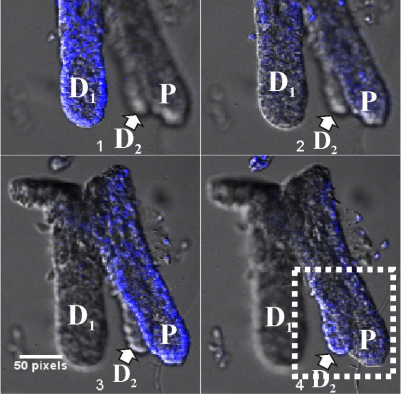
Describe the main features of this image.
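Two long crypts hang side by side joined at the top, and a short rounded bud, marked by the arrows, sits low between them near their bases. At some depths the bud is barely visible, while at others its outline stands out beside the larger crypt.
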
